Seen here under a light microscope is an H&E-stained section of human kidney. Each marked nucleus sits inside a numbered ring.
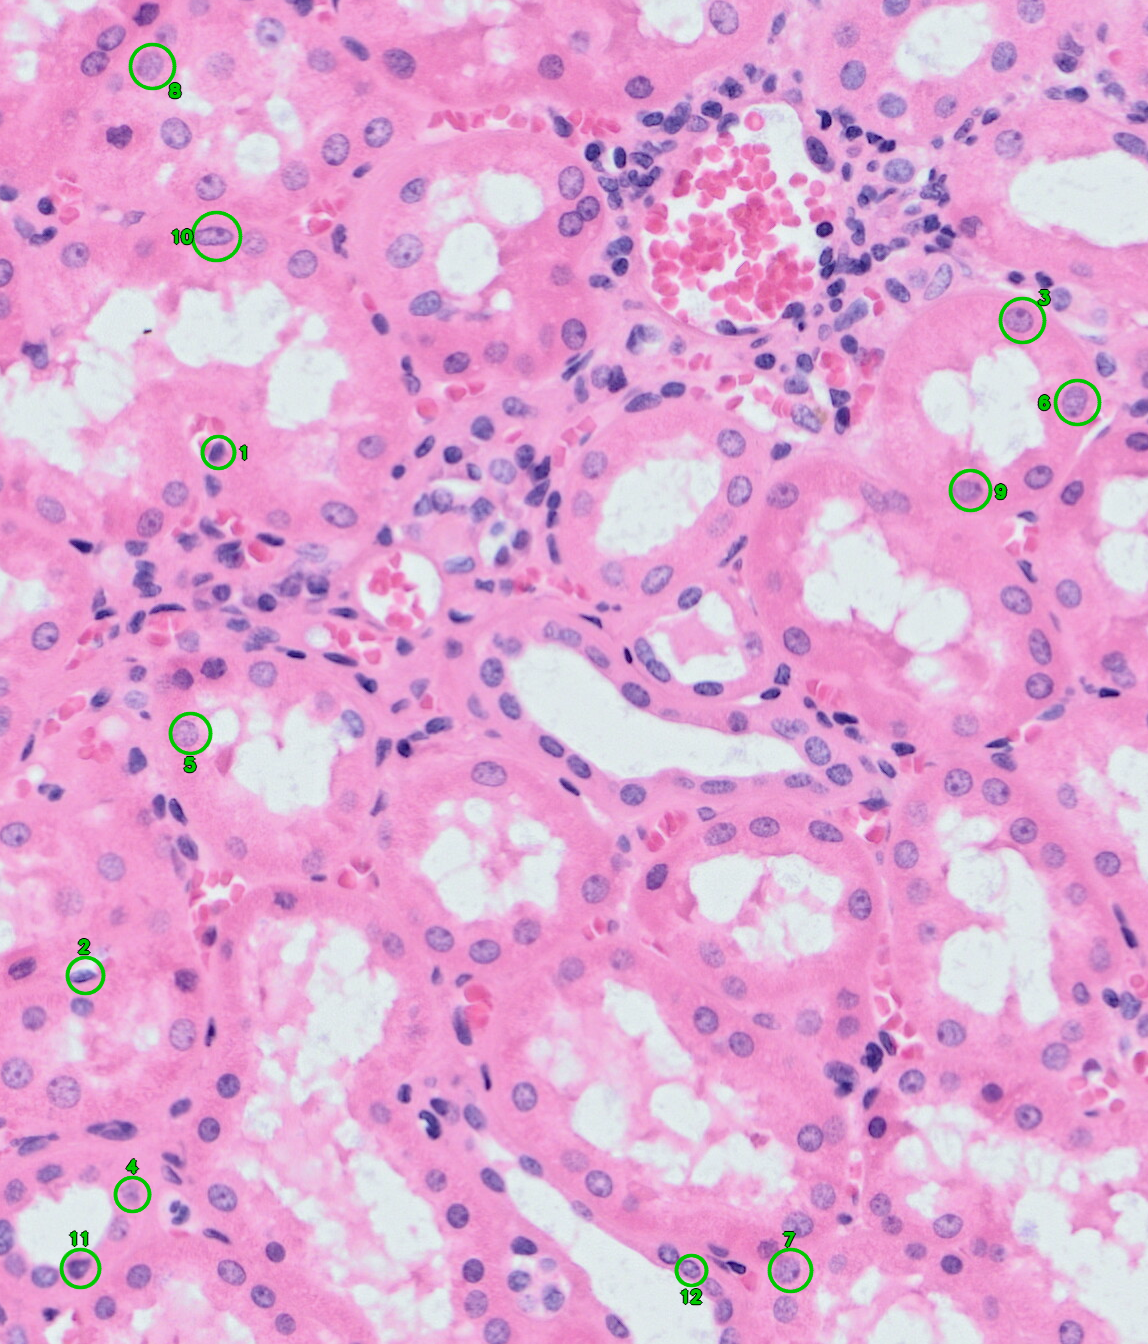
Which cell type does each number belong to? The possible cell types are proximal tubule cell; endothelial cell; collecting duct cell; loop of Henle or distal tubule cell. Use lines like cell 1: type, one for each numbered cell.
cell 1: endothelial cell
cell 2: endothelial cell
cell 3: proximal tubule cell
cell 4: loop of Henle or distal tubule cell
cell 5: proximal tubule cell
cell 6: proximal tubule cell
cell 7: proximal tubule cell
cell 8: proximal tubule cell
cell 9: proximal tubule cell
cell 10: proximal tubule cell
cell 11: loop of Henle or distal tubule cell
cell 12: collecting duct cell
